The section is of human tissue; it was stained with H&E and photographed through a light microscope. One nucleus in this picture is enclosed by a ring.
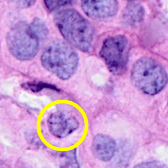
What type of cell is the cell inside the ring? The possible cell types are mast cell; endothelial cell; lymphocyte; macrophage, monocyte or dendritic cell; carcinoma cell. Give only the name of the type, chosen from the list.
macrophage, monocyte or dendritic cell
